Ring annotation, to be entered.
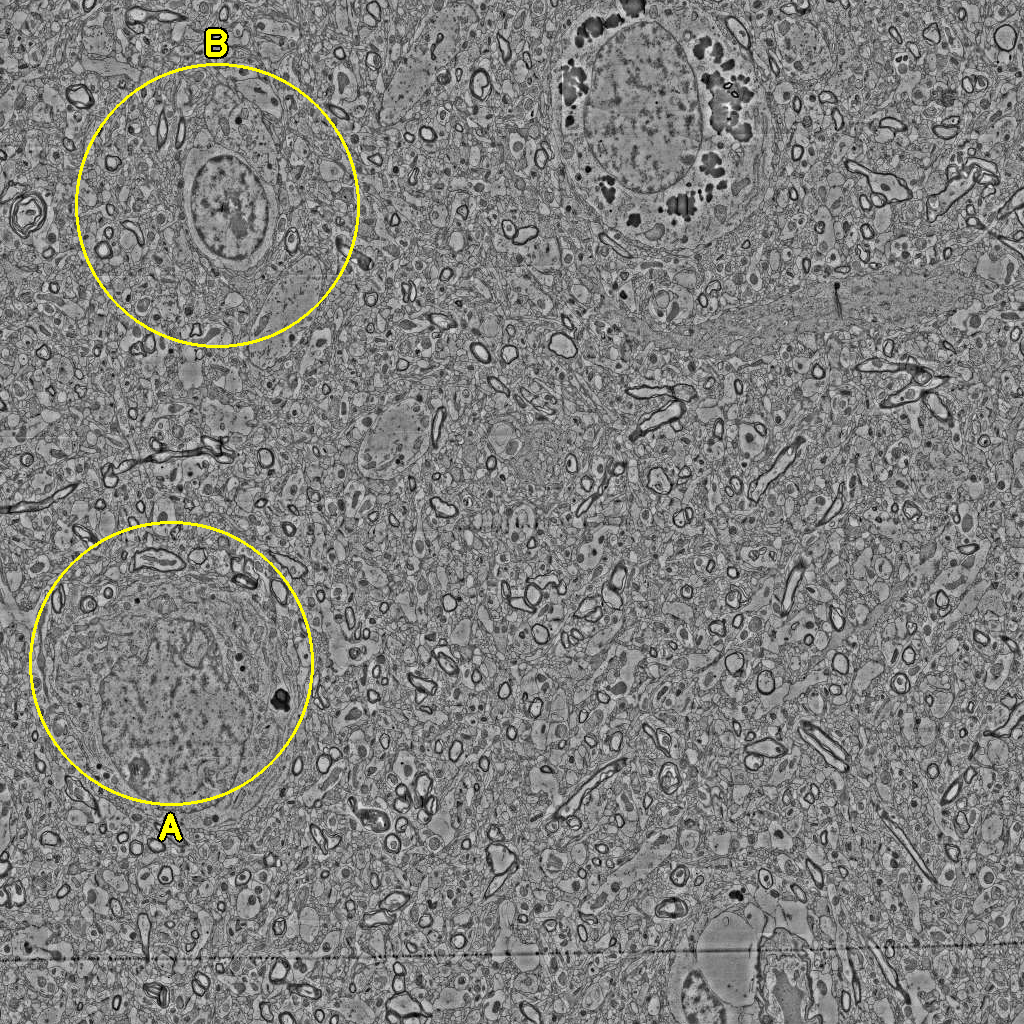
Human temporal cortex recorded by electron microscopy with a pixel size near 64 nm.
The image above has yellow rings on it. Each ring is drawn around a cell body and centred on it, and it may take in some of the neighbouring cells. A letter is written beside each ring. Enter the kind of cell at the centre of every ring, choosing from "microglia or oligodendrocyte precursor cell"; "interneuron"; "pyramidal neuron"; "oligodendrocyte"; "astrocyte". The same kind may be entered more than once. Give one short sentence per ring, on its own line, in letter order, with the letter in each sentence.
The ring marked A is centred on an interneuron.
The ring marked B is centred on a microglial cell or oligodendrocyte precursor cell.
